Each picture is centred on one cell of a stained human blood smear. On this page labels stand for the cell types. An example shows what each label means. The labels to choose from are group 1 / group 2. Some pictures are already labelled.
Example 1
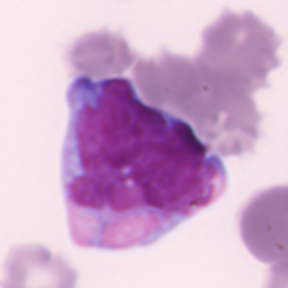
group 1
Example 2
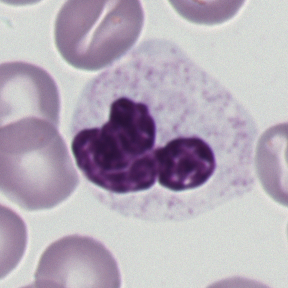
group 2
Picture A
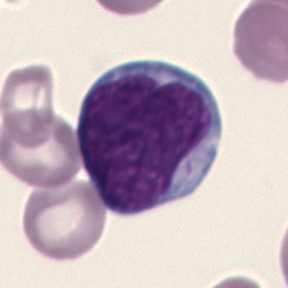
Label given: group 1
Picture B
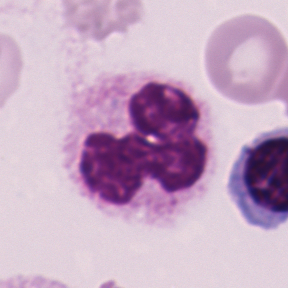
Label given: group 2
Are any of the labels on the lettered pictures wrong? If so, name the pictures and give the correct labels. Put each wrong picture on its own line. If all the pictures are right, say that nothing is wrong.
All labels are correct.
